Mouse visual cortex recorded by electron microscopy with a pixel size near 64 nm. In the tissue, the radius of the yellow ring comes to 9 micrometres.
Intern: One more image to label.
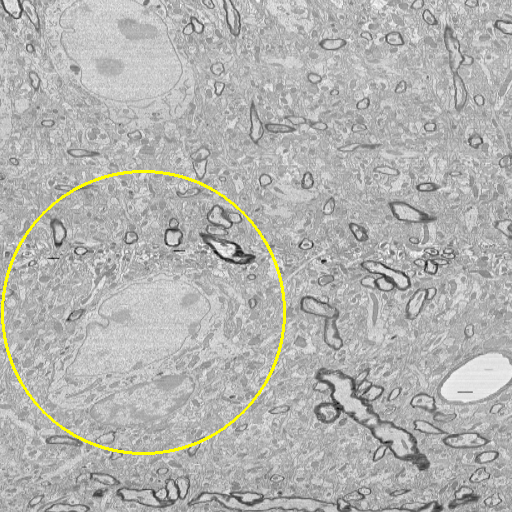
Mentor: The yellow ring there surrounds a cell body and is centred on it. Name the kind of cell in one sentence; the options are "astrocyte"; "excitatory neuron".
The ring marks the cell body of an excitatory neuron.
